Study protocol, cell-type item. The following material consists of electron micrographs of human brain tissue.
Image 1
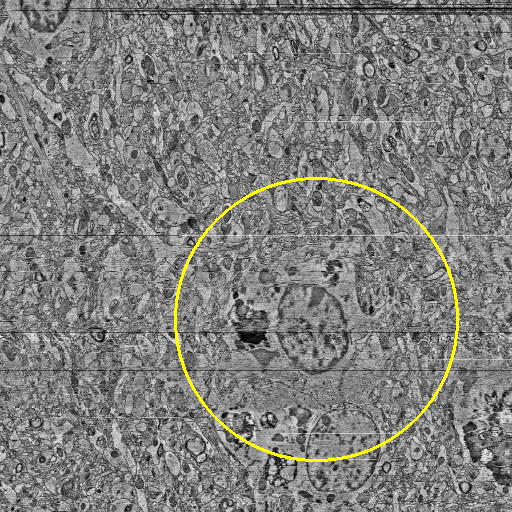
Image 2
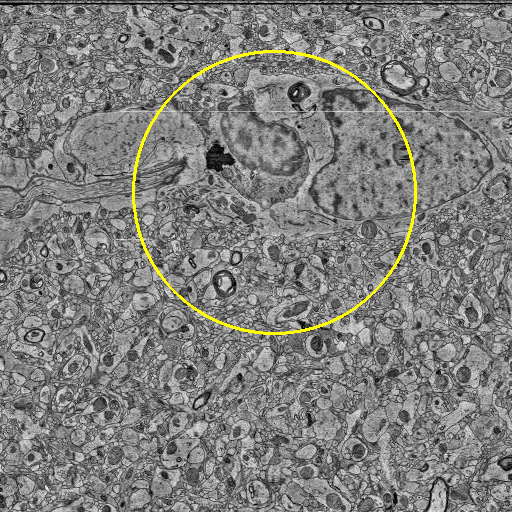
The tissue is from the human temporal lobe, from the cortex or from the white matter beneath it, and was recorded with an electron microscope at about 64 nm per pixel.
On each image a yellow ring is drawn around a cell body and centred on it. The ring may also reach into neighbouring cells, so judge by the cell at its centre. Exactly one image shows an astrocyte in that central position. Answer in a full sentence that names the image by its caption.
The cell at the centre of the ring in Image 1 is of that kind.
